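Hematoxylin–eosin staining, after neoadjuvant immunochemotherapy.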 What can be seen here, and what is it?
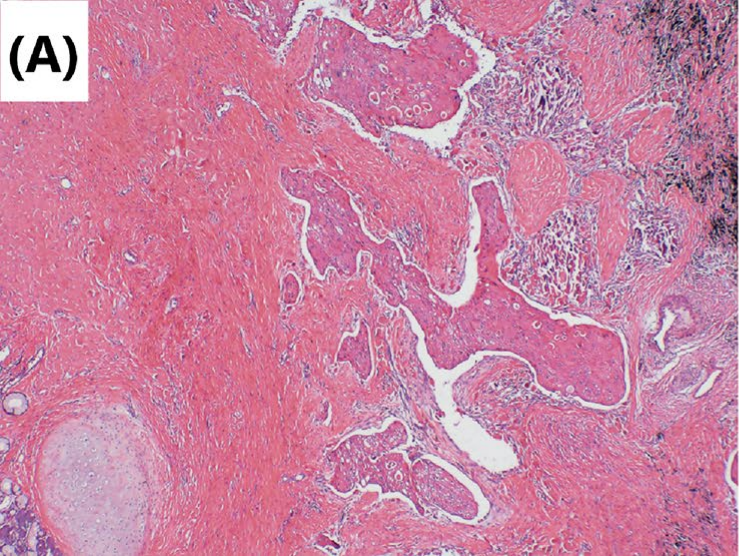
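Most of the field is taken up by dense, pink, wavy fibrous tissue with few nuclei. Irregular, branching islands of pink tissue with small clear spaces lie within it, separated from the stroma by narrow white clefts. Toward the upper right the tissue is more cellular, and dark black pigment is seen at the upper edge. These are cancer nests surrounded by a marked proliferation of fibrous tissue.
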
